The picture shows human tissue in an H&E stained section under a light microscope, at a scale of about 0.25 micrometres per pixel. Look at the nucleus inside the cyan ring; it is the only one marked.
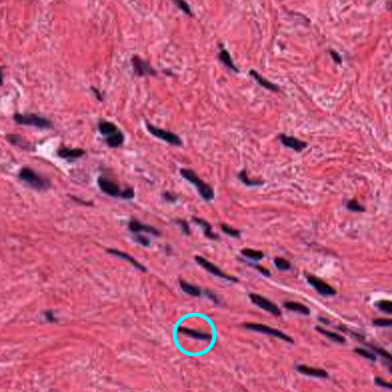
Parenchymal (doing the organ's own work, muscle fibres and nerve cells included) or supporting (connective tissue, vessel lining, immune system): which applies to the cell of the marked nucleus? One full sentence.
The marked nucleus is the nucleus belonging to a supporting cell.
